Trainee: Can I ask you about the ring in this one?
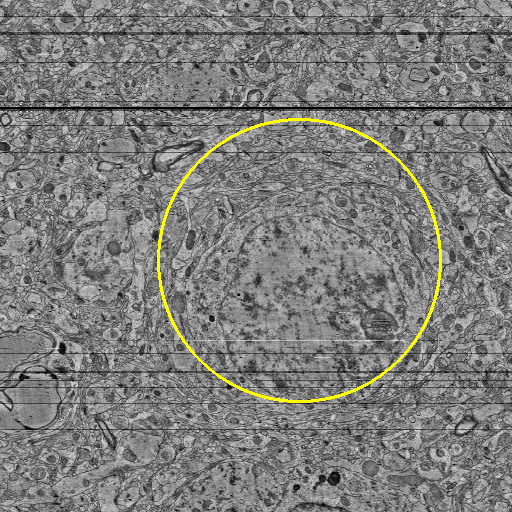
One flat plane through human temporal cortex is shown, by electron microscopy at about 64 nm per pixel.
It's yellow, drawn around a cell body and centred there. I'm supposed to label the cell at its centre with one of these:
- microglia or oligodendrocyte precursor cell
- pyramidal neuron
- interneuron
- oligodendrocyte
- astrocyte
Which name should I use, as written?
interneuron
